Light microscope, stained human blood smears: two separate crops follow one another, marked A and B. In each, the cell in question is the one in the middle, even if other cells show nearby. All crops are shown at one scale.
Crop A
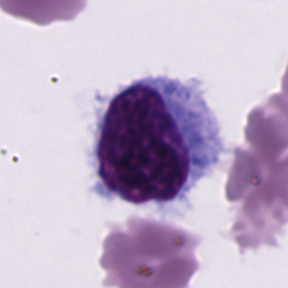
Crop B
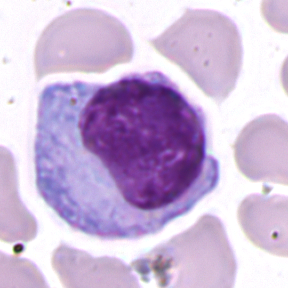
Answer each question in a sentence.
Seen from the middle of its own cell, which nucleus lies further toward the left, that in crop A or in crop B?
The nucleus in crop A lies further toward the left of its cell.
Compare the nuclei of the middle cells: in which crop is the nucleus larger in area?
Larger is the nucleus in crop B, at roughly 1.5 times the area of the other.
